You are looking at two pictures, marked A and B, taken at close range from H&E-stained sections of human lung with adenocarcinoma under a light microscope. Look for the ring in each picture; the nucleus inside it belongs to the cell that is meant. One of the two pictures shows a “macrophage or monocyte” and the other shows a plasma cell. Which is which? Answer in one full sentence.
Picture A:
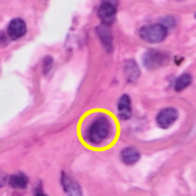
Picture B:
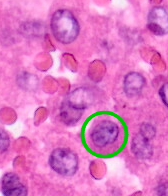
The cell in picture A is a plasma cell, and the one in picture B is a “macrophage or monocyte”.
